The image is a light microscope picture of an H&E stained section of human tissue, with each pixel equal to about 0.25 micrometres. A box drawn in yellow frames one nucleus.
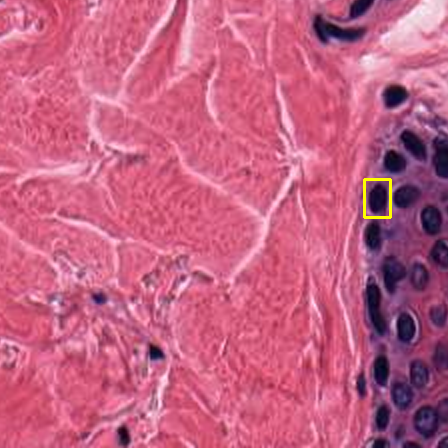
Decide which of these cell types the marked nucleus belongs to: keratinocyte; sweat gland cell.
keratinocyte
